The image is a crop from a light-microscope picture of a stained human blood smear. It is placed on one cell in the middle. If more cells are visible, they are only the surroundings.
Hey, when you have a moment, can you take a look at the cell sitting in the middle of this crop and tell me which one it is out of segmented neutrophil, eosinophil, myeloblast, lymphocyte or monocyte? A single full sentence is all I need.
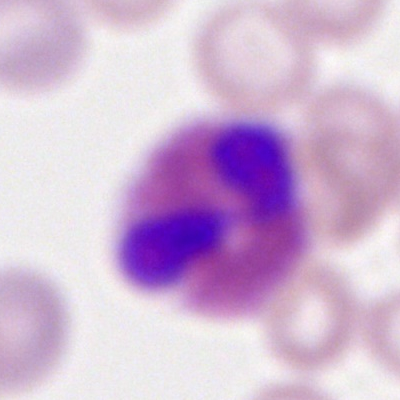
This crop has an eosinophil at its centre.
